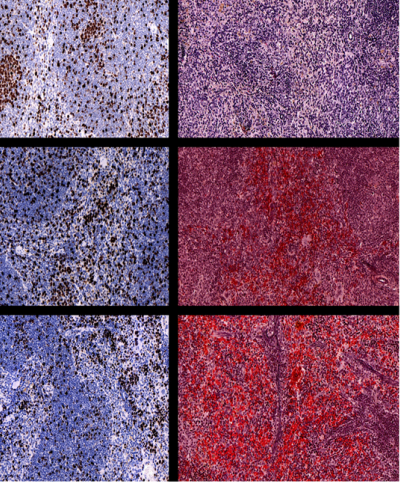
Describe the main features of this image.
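These are spleen sections in two stains side by side, three rows of each. In the left column the tissue is counterstained blue, with many small dark brown dots over single nuclei scattered through it, and in places gathered into dense brown clusters. In the right column the tissue is mostly purple from densely packed nuclei, with patches of bright red stain. The red areas are broad and irregular and are much larger in some rows than in others, in the lowest row covering much of the field.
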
